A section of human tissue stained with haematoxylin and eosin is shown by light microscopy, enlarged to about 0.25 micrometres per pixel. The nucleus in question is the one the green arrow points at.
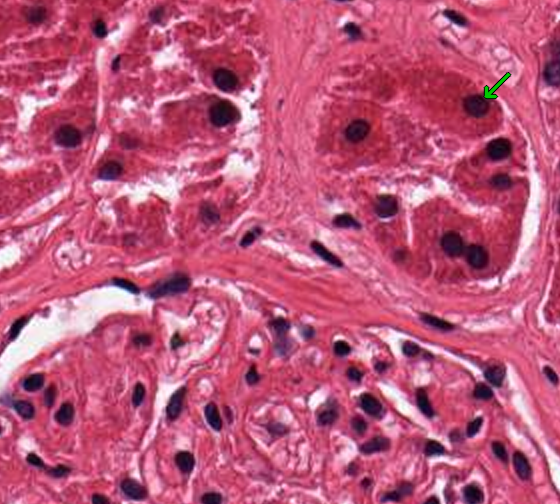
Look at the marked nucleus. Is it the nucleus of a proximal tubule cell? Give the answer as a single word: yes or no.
yes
